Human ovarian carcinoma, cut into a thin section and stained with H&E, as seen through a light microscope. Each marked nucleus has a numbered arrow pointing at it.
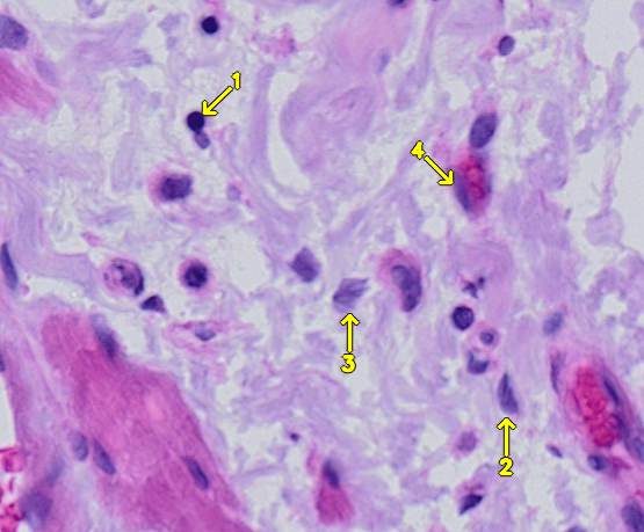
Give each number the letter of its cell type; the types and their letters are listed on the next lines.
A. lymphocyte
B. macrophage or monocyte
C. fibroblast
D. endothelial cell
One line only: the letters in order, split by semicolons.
A; C; C; D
